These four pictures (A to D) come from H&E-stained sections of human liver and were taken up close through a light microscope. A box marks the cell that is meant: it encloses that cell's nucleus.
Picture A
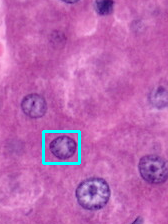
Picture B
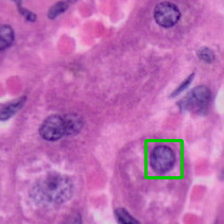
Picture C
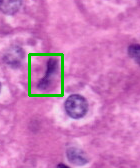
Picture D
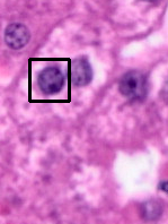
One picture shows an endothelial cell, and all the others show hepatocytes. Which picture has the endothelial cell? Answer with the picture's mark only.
C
